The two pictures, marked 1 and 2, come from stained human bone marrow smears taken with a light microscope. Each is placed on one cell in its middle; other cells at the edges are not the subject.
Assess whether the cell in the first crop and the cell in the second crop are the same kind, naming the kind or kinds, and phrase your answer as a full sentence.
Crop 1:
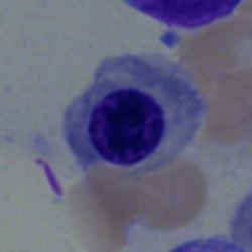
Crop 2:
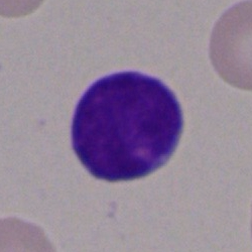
No, in crop 1 there is a normoblast, and in crop 2 there is a blast.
